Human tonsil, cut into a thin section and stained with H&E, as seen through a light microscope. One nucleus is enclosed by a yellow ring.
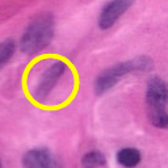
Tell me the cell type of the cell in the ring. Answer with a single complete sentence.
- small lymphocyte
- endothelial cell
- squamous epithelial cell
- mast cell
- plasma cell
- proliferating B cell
The classification of the cell in the ring is as an endothelial cell.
